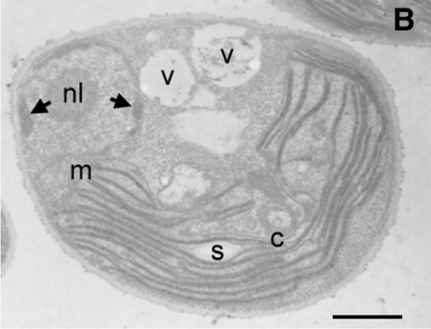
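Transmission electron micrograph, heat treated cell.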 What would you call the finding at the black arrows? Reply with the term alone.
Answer: Condensation of chromatin on the inner side of the nuclear membrane.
